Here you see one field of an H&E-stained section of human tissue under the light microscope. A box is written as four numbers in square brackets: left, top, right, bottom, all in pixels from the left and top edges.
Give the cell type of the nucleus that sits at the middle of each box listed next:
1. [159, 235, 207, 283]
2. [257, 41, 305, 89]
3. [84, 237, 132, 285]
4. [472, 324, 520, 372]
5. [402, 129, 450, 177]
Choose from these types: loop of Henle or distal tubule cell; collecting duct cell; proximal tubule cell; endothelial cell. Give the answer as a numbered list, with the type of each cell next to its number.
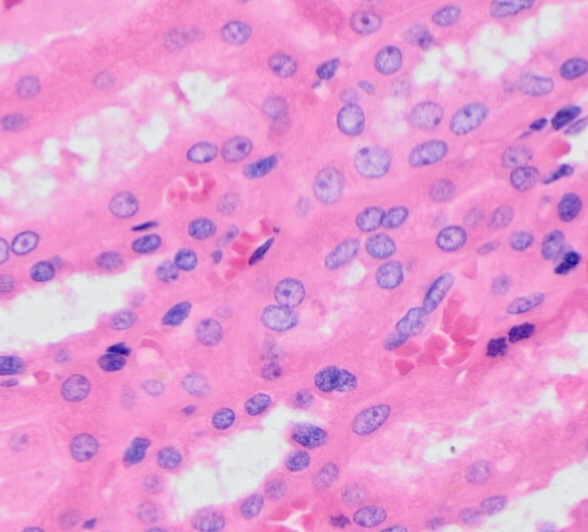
1. loop of Henle or distal tubule cell
2. proximal tubule cell
3. loop of Henle or distal tubule cell
4. proximal tubule cell
5. proximal tubule cell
